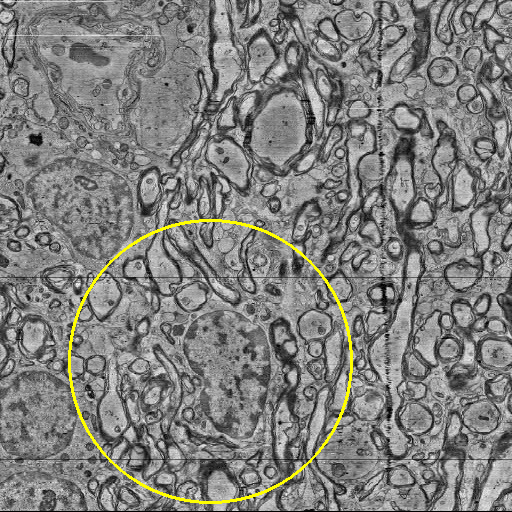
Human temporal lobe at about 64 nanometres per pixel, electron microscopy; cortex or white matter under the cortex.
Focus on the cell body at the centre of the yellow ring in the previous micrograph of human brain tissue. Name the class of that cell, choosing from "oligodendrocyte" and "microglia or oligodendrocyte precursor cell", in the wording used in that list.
microglia or oligodendrocyte precursor cell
